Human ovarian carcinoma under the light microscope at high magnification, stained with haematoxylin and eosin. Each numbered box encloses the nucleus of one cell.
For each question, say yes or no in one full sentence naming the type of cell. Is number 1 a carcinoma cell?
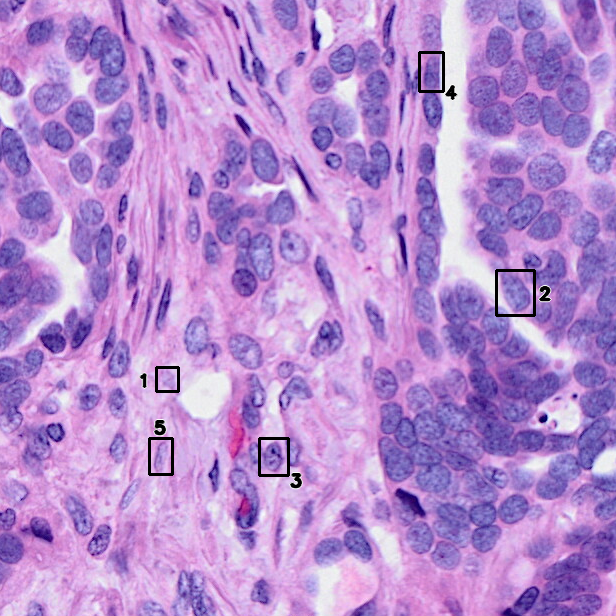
No, the marked cell 1 is not a carcinoma cell, being instead a fibroblast.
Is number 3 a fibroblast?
No, the identification of cell 3 as a fibroblast is incorrect; it is a macrophage or monocyte.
